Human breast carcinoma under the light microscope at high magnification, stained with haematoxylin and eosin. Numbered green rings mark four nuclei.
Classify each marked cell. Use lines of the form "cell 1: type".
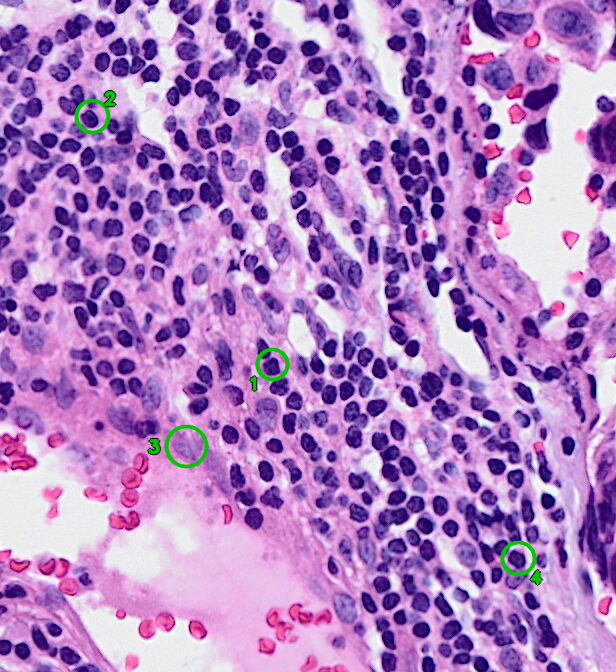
cell 1: lymphocyte
cell 2: lymphocyte
cell 3: endothelial cell
cell 4: lymphocyte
